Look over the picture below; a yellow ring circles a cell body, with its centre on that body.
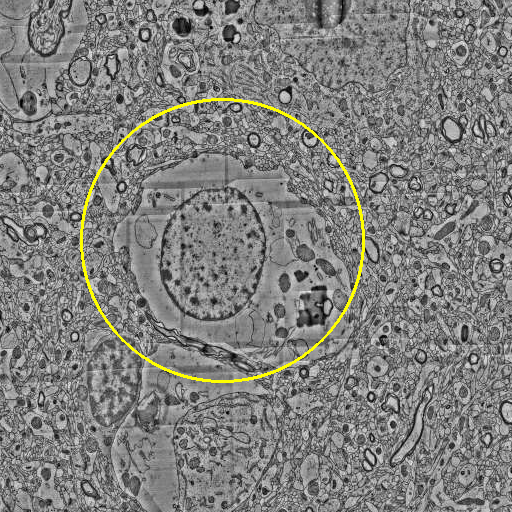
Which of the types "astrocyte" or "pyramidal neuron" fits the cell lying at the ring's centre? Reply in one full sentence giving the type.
The picture shows an astrocyte at the centre of the yellow ring.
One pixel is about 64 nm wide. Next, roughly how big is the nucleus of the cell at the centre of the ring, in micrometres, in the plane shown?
Approximately 9 micrometres long and 7 micrometres wide, in this plane.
